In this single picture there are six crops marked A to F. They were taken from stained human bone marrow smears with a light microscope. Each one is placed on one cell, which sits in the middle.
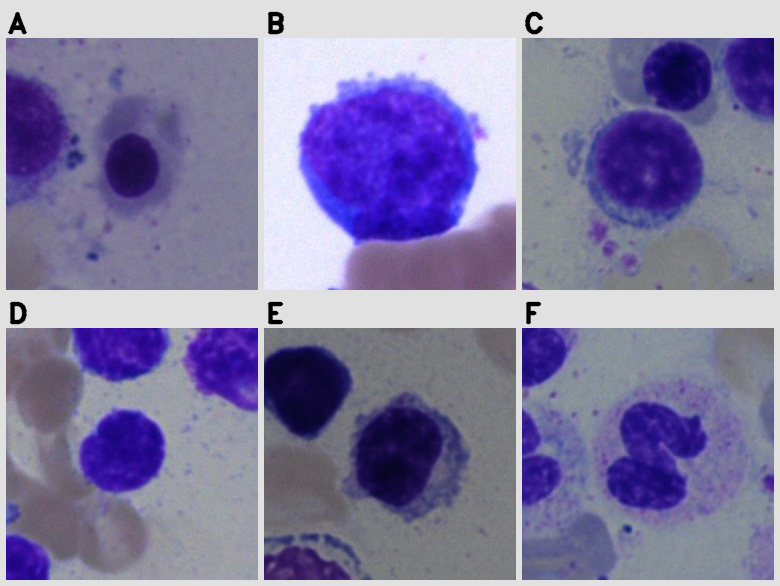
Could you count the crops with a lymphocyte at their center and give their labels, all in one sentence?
The cells in crops C, D and E are lymphocytes, giving three crops of this kind.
